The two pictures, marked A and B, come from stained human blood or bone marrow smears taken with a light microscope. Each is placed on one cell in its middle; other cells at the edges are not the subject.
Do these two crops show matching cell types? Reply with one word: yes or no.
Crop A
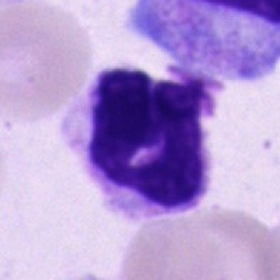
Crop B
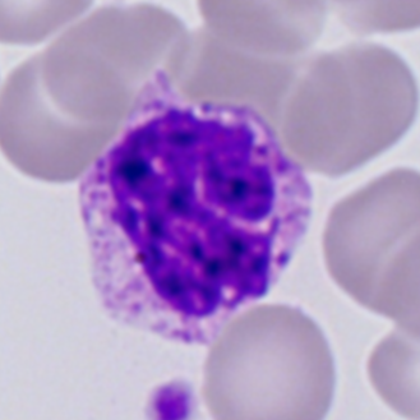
no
